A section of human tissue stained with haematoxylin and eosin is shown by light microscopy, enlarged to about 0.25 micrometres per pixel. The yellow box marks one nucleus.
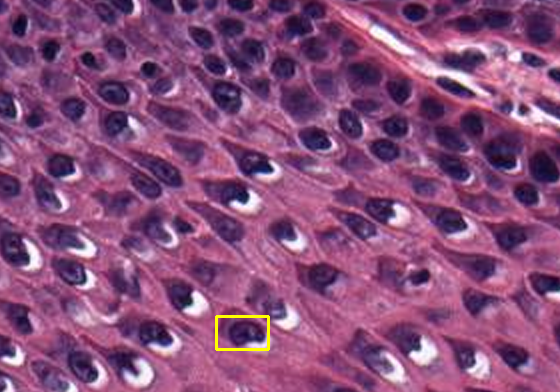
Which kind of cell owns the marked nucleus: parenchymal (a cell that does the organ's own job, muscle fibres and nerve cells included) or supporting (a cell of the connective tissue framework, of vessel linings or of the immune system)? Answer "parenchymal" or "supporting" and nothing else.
parenchymal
